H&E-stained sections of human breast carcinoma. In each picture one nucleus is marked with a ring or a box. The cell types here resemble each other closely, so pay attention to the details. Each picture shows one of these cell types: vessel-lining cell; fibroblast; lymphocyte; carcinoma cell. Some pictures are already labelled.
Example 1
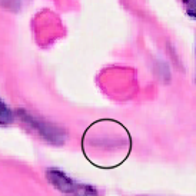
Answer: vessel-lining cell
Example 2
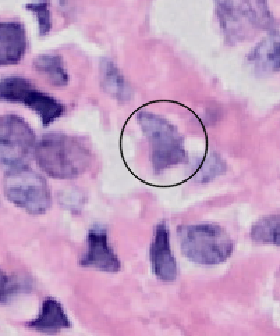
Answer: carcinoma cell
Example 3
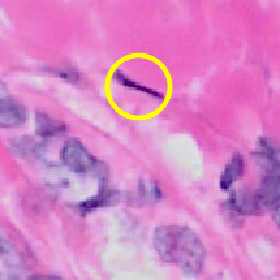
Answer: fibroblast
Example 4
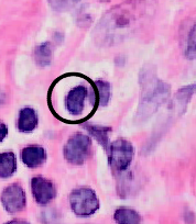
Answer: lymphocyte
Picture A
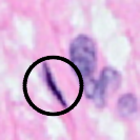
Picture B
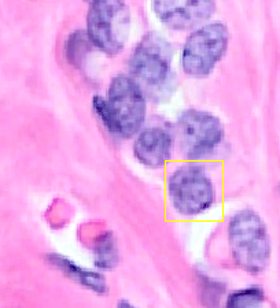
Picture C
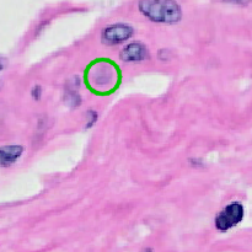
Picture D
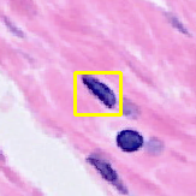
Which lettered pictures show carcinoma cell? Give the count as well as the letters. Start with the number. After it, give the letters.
1: B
